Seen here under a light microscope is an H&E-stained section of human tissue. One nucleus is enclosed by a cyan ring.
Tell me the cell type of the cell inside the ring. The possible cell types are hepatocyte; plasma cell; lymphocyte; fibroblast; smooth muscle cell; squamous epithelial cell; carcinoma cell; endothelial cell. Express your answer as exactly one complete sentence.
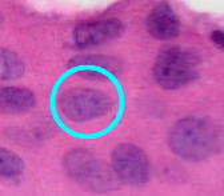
In this preparation, the cell inside the ring is a squamous epithelial cell.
